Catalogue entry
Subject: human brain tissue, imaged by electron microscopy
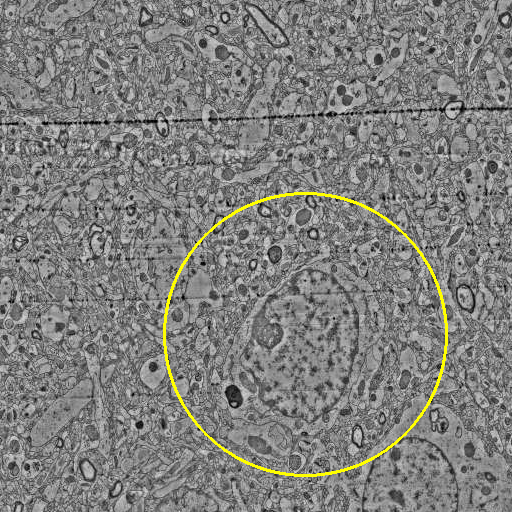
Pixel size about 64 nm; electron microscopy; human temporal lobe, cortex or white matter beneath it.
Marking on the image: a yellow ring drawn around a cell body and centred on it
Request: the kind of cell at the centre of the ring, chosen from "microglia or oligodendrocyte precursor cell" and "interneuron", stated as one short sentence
The ring has an interneuron at its centre.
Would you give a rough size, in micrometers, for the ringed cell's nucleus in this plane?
About 10 by 7 micrometres in this plane.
